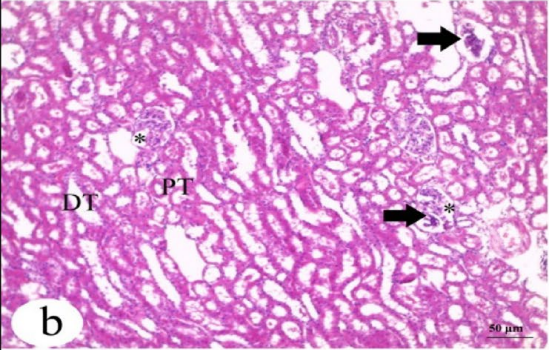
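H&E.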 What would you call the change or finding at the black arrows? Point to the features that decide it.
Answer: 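The arrows point at glomerular tufts that are small, irregular and broken up. The tufts are separated from the capsule by a wide clear space.
Answer: segmented or destructed glomerulus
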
